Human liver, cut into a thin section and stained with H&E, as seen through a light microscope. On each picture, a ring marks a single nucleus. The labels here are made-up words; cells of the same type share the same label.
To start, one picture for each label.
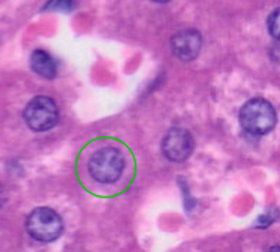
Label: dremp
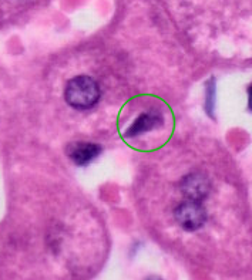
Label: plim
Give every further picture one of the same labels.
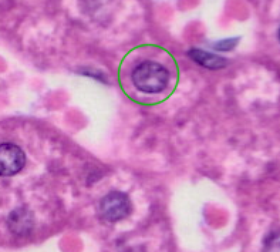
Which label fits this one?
dremp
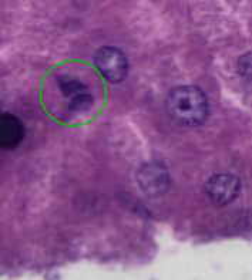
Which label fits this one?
plim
